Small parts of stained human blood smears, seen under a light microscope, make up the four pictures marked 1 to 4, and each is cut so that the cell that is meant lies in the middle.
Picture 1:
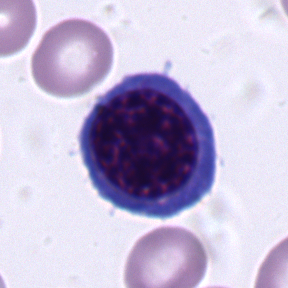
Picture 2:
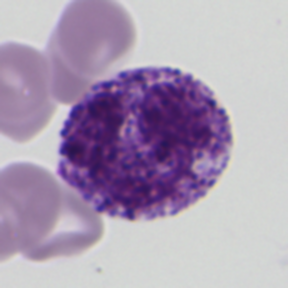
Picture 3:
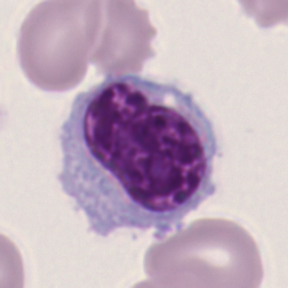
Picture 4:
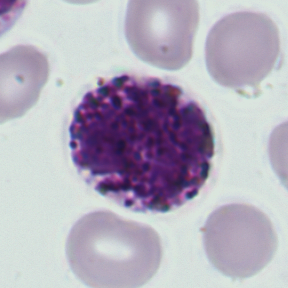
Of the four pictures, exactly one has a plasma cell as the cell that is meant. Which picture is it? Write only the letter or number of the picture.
3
